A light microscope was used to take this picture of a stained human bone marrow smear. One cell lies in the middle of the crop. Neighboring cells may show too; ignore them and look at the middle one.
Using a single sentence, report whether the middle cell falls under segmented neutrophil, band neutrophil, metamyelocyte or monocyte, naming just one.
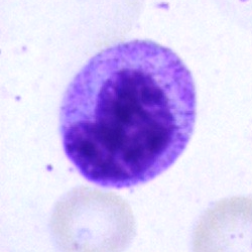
Among the cells in view, the one in the middle is a metamyelocyte.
